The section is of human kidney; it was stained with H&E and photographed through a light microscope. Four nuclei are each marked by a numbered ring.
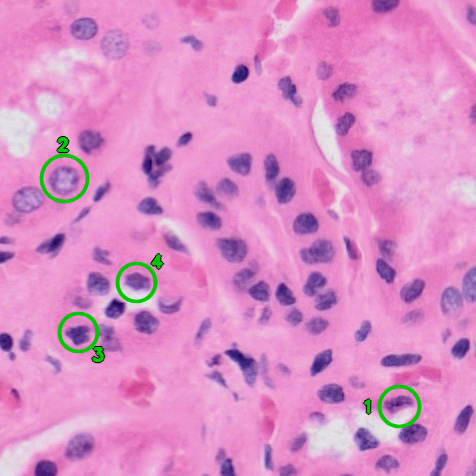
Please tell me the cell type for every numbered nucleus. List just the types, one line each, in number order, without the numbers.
loop of Henle or distal tubule cell
proximal tubule cell
loop of Henle or distal tubule cell
loop of Henle or distal tubule cell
